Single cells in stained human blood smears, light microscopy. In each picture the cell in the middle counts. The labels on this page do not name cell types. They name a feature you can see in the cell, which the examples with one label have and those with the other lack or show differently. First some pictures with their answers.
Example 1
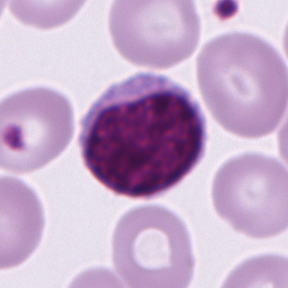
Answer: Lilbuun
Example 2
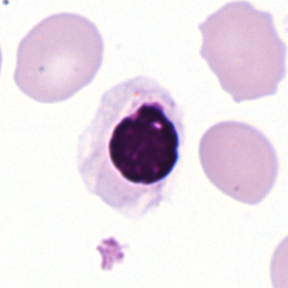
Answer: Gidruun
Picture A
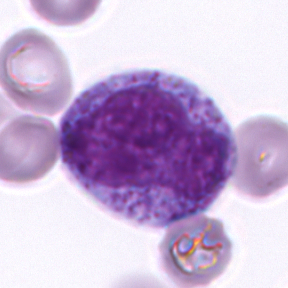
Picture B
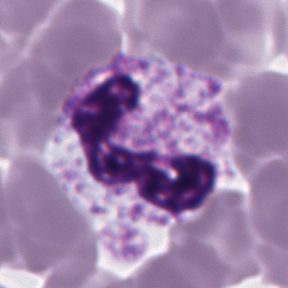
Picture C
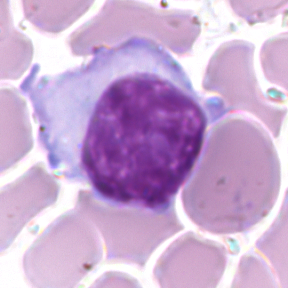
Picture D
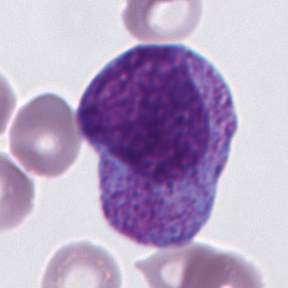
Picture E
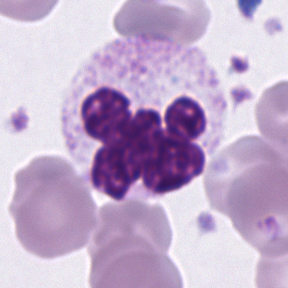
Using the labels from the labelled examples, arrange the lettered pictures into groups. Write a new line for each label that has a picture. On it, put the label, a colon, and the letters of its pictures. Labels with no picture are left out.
Lilbuun: A
Gidruun: B, C, D, E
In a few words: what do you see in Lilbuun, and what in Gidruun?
Lilbuun, scant cytoplasm; Gidruun, abundant cytoplasm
